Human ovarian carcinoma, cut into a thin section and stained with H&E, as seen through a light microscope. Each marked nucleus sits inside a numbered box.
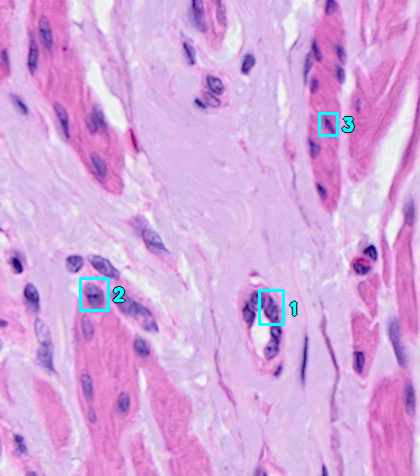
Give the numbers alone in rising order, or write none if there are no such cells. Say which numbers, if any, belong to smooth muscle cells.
2, 3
